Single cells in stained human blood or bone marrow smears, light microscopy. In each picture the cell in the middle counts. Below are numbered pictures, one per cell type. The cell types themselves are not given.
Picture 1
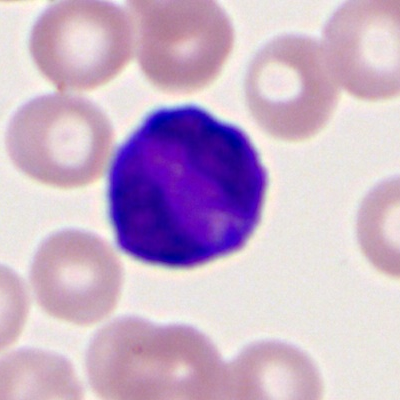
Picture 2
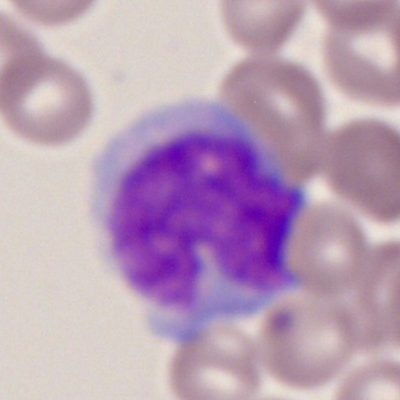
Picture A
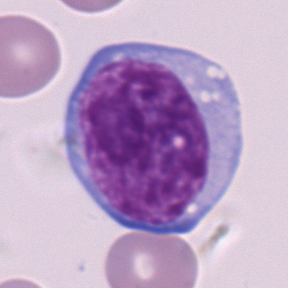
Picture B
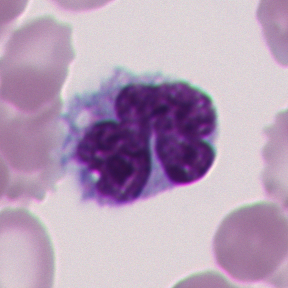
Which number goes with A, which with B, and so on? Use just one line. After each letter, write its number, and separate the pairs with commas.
A 1, B 2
